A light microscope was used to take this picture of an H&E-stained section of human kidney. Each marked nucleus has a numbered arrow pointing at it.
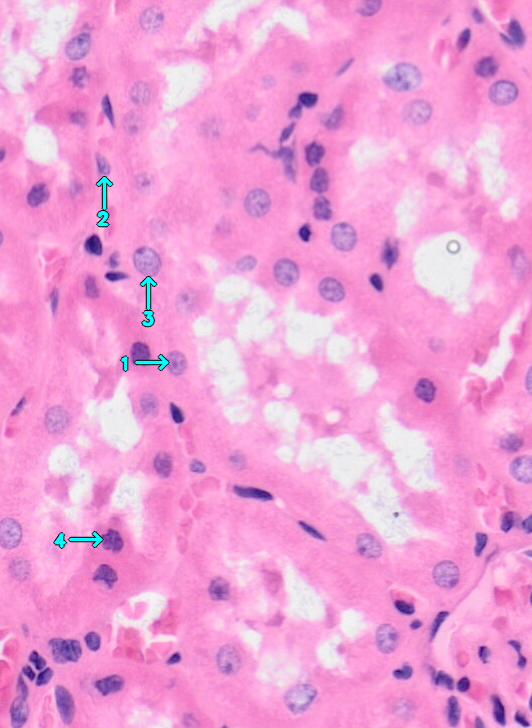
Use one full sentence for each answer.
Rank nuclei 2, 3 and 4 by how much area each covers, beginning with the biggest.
Going from the biggest nucleus down to the smallest gives 3, 4, 2.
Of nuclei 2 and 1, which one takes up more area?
Number 1 is larger; its area is about 2 times that of number 2.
